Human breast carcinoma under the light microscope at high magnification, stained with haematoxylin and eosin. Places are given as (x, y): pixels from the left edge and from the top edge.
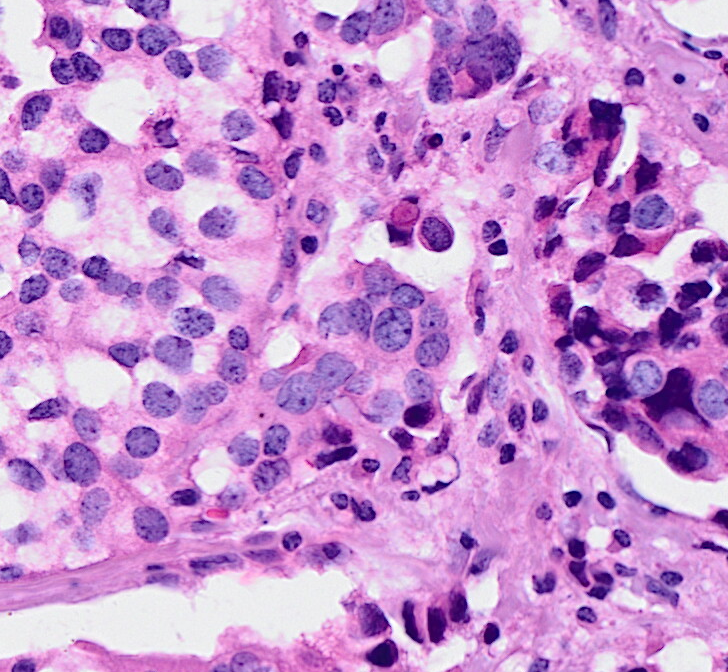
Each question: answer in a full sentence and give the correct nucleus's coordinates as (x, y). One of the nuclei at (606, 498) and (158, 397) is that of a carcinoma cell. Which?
The nucleus whose cell is a carcinoma cell is the one at (158, 397).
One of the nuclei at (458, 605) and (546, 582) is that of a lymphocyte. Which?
Among the two nuclei, the one lying at (546, 582) is part of a lymphocyte.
